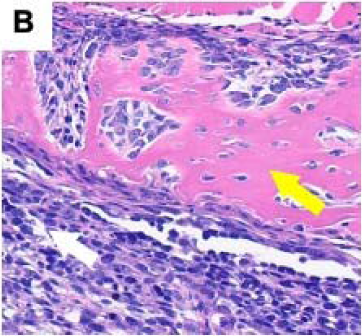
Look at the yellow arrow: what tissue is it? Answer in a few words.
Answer: Bone tissue.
